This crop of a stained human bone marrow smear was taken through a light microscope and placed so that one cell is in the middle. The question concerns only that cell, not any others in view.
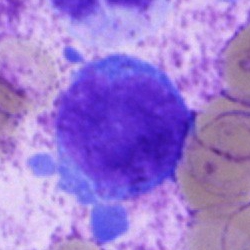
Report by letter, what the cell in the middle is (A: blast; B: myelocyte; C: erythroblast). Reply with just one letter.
A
